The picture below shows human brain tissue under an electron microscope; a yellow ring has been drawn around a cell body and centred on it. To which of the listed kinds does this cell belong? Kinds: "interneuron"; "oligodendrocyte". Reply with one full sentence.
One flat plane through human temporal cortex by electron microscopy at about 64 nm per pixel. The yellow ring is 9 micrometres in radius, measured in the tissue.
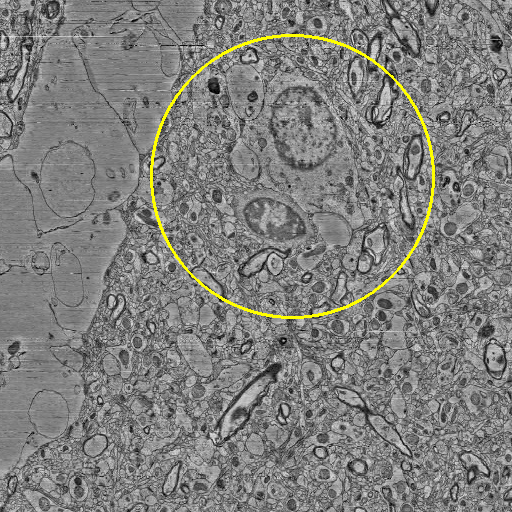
It is an interneuron that the yellow ring in the picture is centred on.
